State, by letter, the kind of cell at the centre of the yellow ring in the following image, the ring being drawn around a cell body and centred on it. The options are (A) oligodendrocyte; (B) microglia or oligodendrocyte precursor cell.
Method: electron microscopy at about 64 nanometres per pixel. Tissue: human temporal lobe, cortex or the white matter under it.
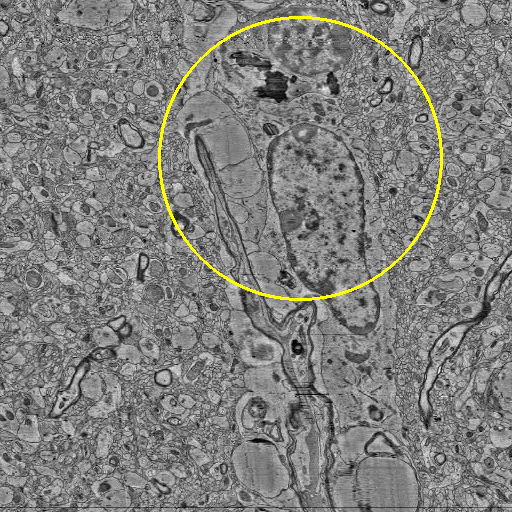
B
